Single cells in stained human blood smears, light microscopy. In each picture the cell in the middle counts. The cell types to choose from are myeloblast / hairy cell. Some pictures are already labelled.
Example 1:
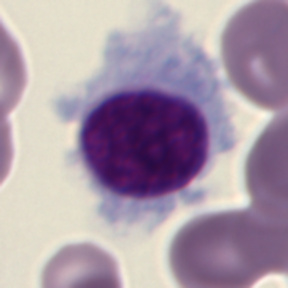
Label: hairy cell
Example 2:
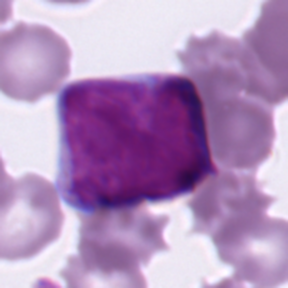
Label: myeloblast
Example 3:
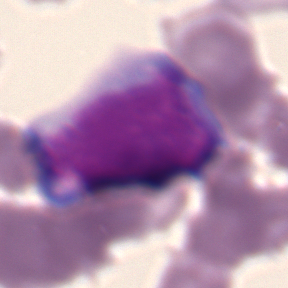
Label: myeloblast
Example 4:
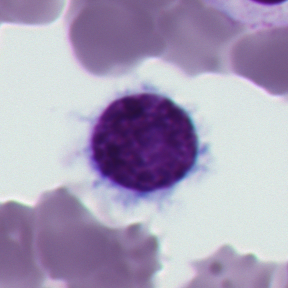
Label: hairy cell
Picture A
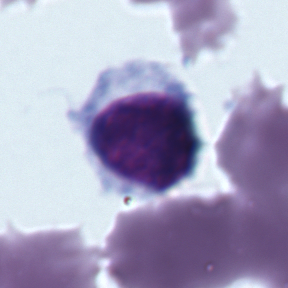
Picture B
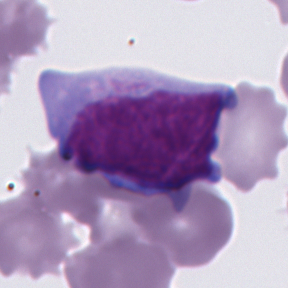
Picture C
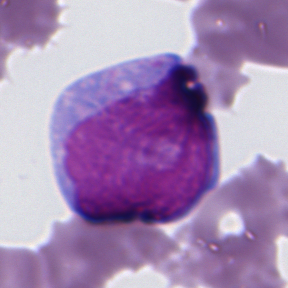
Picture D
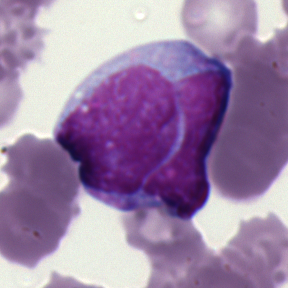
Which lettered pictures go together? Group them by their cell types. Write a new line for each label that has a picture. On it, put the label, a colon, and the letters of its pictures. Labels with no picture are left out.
myeloblast: B, C, D
hairy cell: A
